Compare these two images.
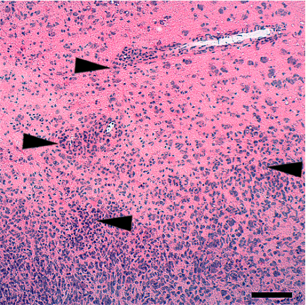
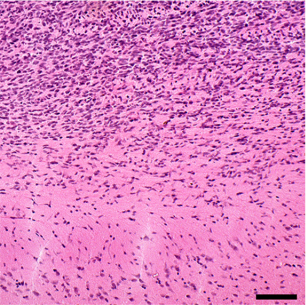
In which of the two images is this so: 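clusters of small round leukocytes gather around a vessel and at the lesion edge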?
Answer: the first image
